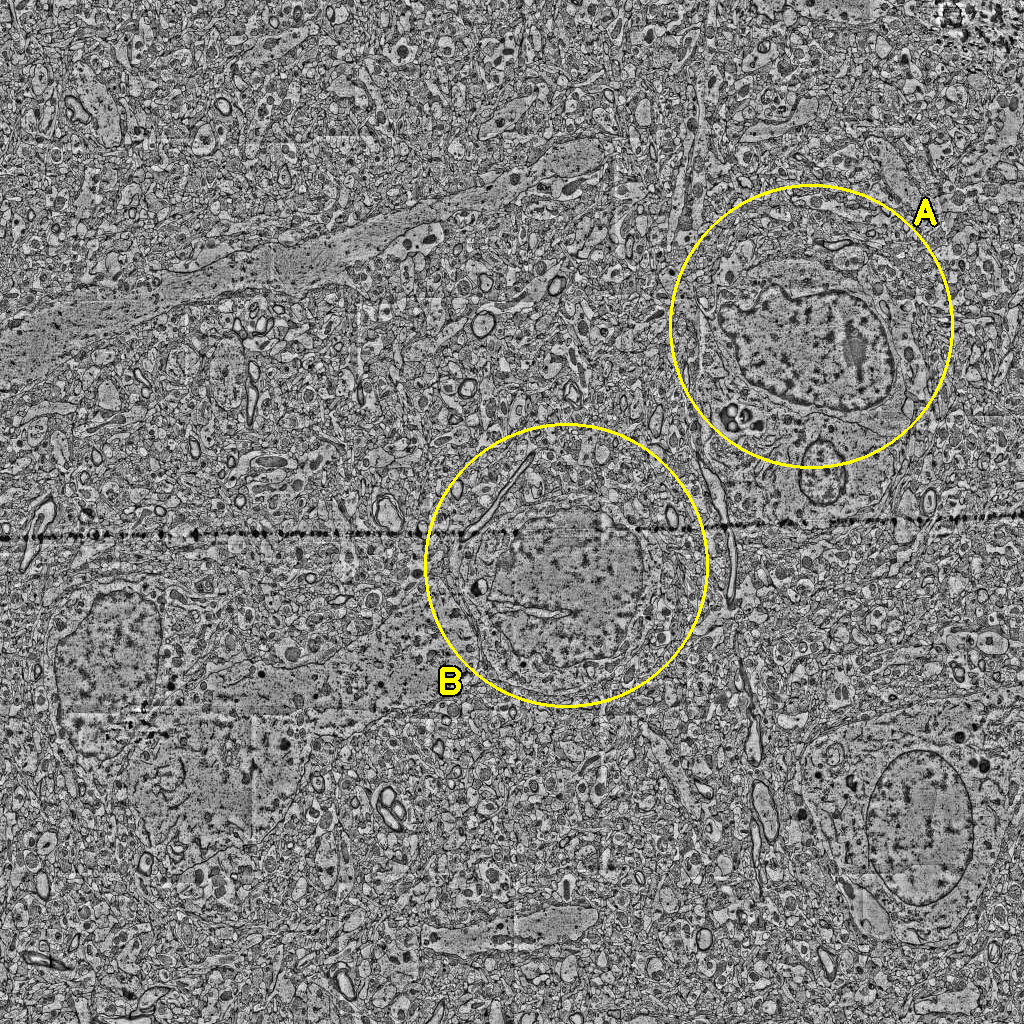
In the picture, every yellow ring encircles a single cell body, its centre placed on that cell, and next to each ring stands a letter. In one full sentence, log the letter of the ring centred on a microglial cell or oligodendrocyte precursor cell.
The ring with the requested cell at its centre bears the letter A.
